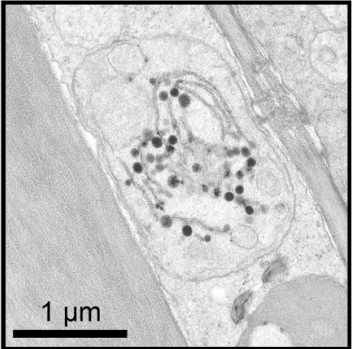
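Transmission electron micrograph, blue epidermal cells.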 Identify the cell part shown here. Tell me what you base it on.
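A rounded organelle bounded by an envelope lies beside a thick cell wall. It holds a cluster of dark round droplets strung along sparse internal membranes. So: plastids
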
